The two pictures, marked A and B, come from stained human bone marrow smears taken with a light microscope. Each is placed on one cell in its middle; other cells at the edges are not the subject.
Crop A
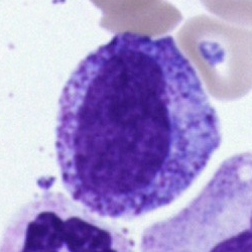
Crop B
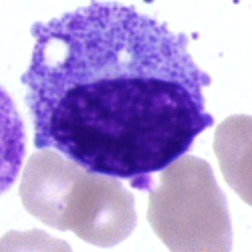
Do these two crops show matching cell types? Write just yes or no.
yes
